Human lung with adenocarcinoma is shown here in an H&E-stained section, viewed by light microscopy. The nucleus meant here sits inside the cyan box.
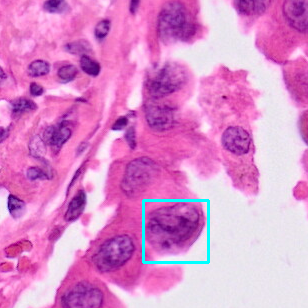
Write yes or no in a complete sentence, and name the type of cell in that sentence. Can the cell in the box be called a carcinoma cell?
Yes, no change needed: the cell in the box is a carcinoma cell.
